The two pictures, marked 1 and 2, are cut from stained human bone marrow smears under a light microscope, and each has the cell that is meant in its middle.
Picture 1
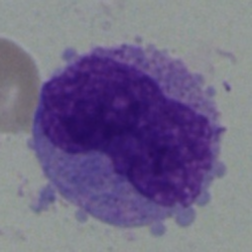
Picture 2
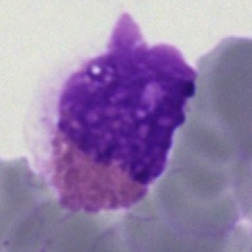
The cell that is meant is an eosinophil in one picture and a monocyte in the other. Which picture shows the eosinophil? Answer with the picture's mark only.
2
